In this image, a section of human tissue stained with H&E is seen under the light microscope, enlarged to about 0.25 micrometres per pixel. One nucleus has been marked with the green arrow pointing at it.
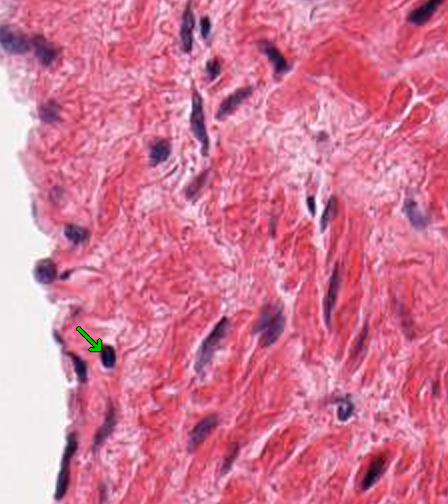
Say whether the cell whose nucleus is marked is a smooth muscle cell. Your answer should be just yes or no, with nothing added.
no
